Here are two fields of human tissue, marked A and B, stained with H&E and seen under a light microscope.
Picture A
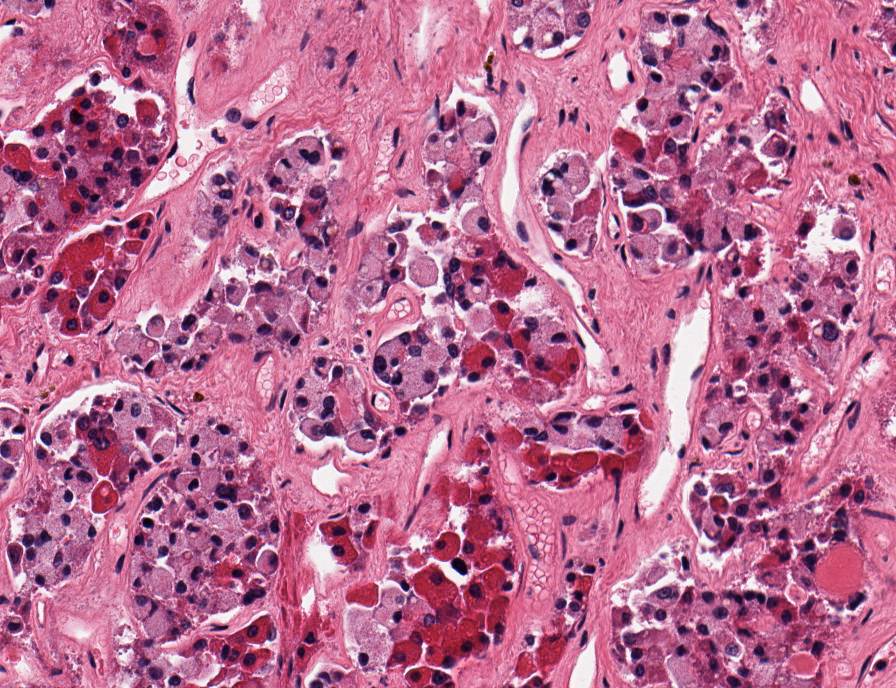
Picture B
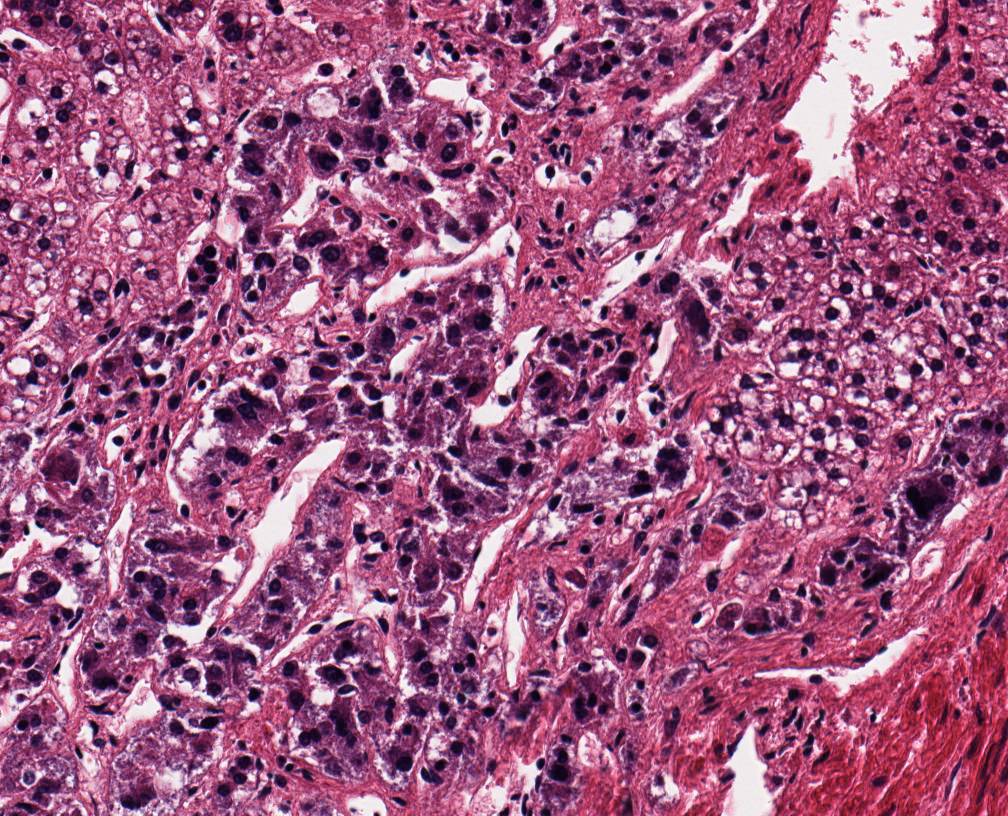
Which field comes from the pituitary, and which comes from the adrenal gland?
A: pituitary
B: adrenal gland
